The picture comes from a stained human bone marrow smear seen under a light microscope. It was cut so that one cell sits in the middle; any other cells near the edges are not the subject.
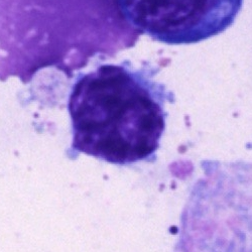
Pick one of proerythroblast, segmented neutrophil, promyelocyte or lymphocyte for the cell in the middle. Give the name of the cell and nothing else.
lymphocyte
